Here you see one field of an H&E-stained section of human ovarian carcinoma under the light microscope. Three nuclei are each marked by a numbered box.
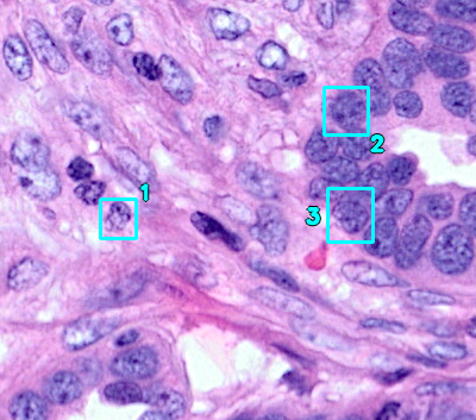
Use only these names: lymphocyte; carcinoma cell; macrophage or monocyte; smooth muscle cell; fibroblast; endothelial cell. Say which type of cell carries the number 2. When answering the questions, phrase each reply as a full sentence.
The cell bearing label 2 corresponds to a carcinoma cell.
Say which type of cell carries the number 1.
Number 1 is placed on a macrophage or monocyte here.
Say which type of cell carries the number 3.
The cell that carries the label 3 is a carcinoma cell.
